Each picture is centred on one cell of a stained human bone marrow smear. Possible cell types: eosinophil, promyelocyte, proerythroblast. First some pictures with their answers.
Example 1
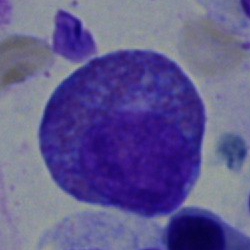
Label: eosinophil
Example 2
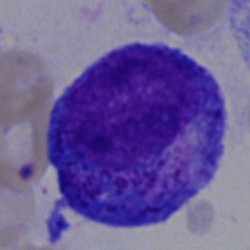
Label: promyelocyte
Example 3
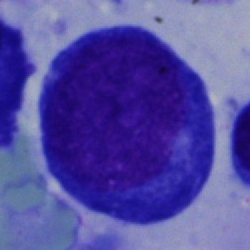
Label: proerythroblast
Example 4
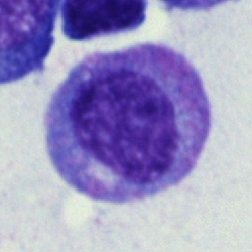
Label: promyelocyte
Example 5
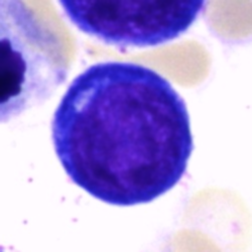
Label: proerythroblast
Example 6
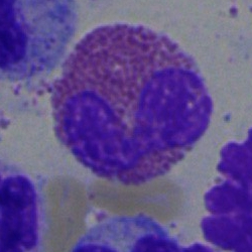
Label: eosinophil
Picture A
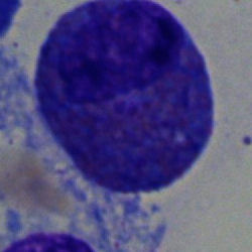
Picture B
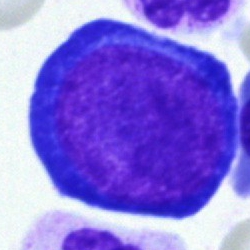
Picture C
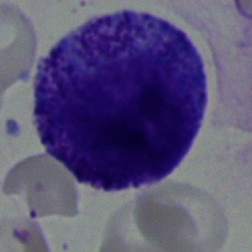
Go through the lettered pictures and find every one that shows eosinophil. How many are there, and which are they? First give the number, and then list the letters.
1, namely A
